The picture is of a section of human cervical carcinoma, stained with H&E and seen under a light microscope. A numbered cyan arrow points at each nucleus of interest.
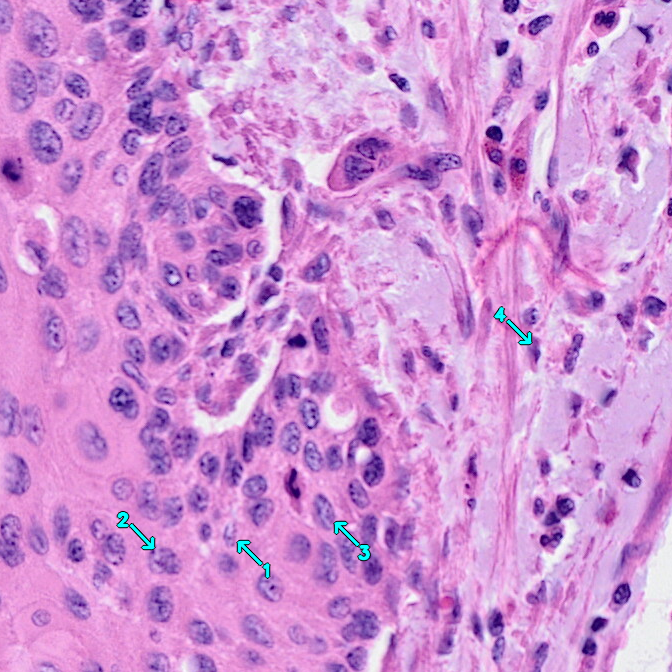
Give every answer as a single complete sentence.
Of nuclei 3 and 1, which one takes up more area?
Nucleus 3 covers more area, about 2.5 times as much as nucleus 1.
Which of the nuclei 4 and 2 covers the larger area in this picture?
It is nucleus 2, which covers about 4 times the area of nucleus 4.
